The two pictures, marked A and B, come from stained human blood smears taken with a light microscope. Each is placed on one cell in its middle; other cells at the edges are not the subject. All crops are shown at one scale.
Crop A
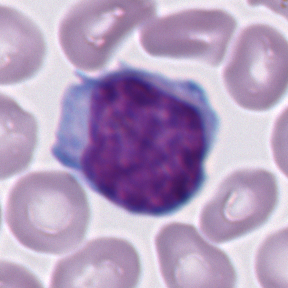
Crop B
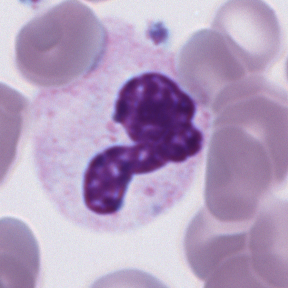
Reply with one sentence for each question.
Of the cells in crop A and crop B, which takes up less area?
It is the cell in crop A; the cell in crop B has about 1.5 times its area.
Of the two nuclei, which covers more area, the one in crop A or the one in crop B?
Crop A shows the larger nucleus; it covers about 1.5 times the area of the nucleus in crop B.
